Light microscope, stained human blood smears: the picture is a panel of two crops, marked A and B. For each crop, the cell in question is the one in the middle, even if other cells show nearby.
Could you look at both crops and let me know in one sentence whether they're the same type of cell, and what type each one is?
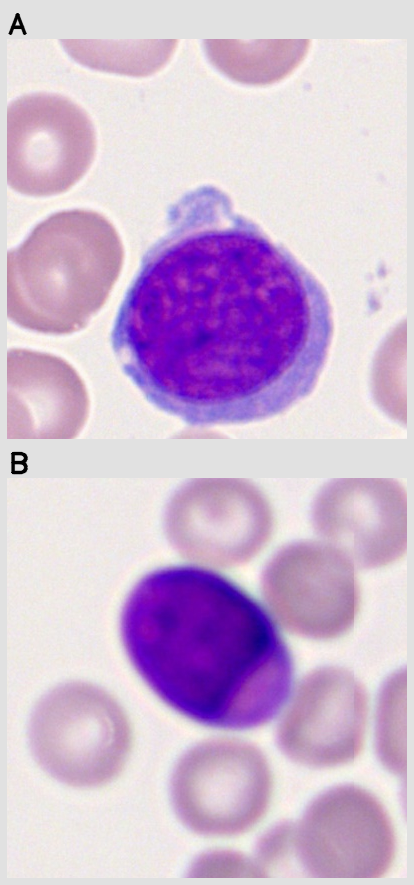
Yes, put down blasts for both crops.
